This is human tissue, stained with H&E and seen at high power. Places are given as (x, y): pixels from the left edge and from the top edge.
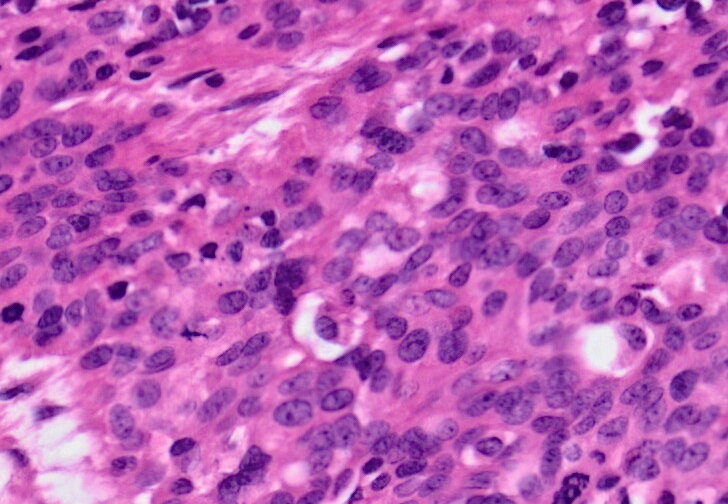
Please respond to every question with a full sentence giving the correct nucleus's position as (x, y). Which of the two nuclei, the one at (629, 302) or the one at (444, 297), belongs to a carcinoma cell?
The nucleus that belongs to a carcinoma cell sits at (629, 302).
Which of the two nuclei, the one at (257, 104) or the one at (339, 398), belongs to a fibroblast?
Located at (257, 104), this nucleus is the one belonging to a fibroblast.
